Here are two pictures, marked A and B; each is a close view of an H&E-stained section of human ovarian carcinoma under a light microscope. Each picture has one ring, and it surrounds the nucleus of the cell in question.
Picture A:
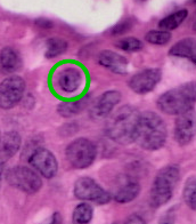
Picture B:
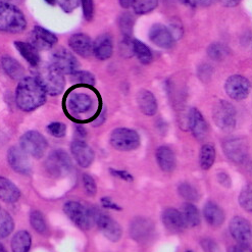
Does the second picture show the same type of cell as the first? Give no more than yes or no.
yes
